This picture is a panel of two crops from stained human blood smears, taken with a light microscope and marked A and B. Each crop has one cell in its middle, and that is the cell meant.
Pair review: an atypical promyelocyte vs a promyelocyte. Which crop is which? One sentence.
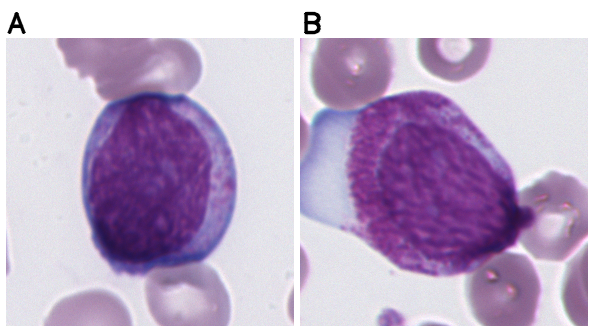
Crop A is designated a promyelocyte, and crop B is designated an atypical promyelocyte.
